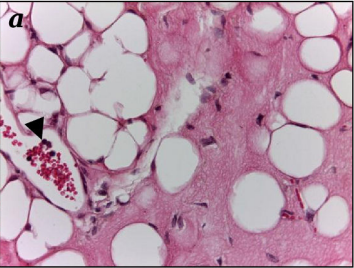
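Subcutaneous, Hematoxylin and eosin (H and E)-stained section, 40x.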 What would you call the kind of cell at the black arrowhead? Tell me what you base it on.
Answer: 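Erythrocytes. The arrowhead points to a cluster of small red anucleate bodies. The red bodies lie inside an elongated lumen lined by thin flat cells.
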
